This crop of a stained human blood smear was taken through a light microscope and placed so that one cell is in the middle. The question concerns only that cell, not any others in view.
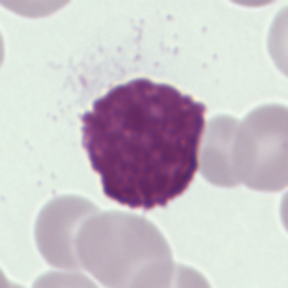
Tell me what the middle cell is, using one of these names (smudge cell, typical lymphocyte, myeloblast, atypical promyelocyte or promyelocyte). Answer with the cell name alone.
smudge cell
